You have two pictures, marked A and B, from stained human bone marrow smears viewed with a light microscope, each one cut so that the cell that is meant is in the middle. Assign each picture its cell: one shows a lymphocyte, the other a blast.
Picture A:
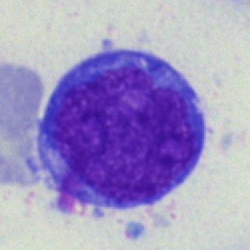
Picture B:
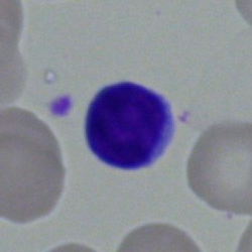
A: blast
B: lymphocyte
